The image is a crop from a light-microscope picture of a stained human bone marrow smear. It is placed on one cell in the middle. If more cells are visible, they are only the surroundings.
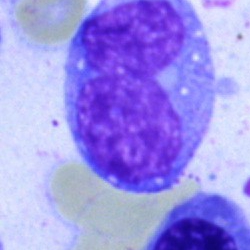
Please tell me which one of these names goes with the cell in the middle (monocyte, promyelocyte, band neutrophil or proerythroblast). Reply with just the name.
monocyte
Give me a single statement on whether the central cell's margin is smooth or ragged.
Thanks for asking; the cell edge is smooth and has no projections.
